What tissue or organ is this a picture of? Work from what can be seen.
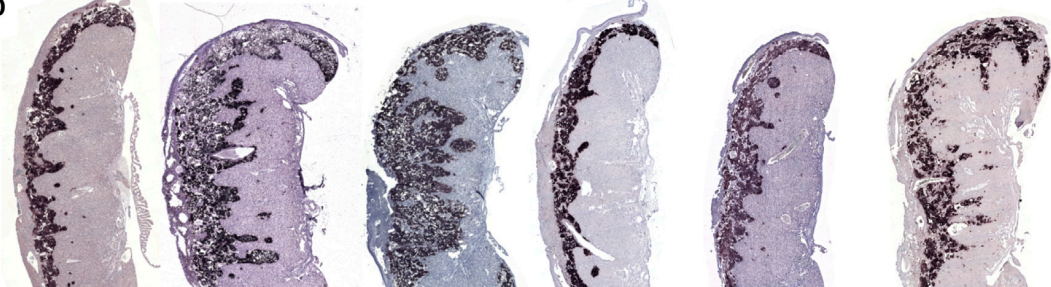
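Six crescent- or kidney-shaped sections of a disc-like organ. Each has a dark band along its outer, convex side and a paler inner region.
Hence: placental cross-sections.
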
